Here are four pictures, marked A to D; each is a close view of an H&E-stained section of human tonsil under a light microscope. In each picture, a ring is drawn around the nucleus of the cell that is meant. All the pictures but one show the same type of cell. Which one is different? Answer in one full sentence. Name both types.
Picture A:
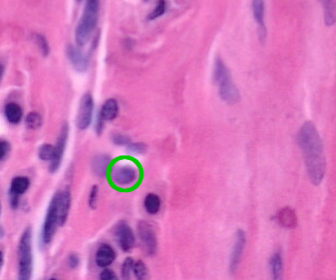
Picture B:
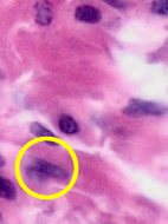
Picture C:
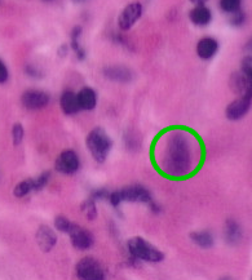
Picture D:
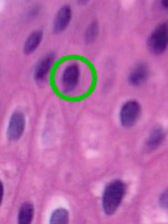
The others show endothelial cells, but picture D shows a squamous epithelial cell.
